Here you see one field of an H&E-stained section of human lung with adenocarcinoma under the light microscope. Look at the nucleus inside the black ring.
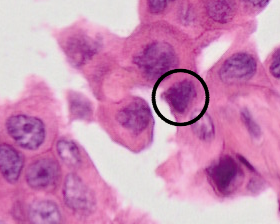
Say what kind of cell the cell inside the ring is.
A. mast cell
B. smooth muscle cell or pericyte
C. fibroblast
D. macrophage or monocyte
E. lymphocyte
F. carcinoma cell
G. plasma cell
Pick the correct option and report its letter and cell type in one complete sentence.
Option F names it right: the cell inside the ring is a carcinoma cell.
